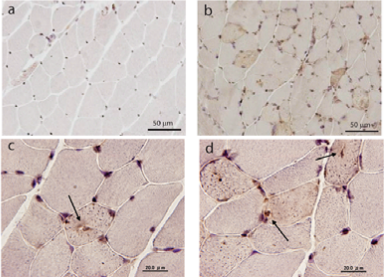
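Cross-sections of skeletal muscle fibers with small purple nuclei at their borders. In the upper left micrograph the fibers are pale and polygonal with almost no brown stain. In the upper right micrograph the fibers vary in size and many show a light brown tint. At higher magnification in the lower micrographs, fibers contain dense brown granular deposits within their interior, marked by black arrows.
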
